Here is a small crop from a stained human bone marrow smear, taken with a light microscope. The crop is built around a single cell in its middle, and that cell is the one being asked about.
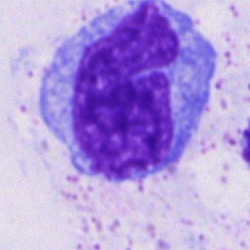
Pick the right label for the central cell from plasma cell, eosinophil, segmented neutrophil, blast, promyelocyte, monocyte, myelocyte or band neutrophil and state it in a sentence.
The cell of interest, in the center, is a monocyte.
